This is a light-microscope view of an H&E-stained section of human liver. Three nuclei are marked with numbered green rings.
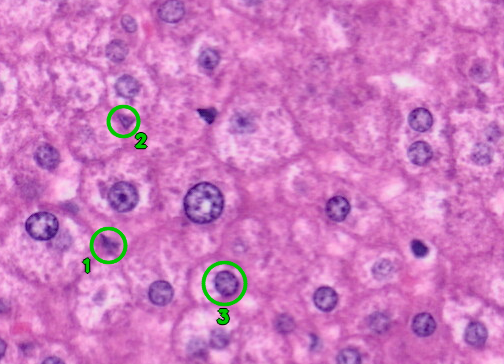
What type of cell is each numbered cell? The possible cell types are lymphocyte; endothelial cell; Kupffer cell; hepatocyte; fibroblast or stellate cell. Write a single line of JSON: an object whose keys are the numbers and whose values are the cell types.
{"1": "endothelial cell", "2": "endothelial cell", "3": "hepatocyte"}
